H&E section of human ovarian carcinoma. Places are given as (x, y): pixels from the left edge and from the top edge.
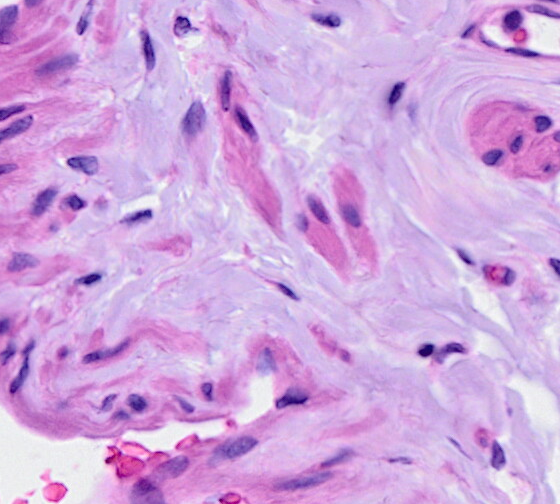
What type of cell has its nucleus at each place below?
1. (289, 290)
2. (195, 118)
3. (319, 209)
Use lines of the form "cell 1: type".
cell 1: fibroblast
cell 2: fibroblast
cell 3: smooth muscle cell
